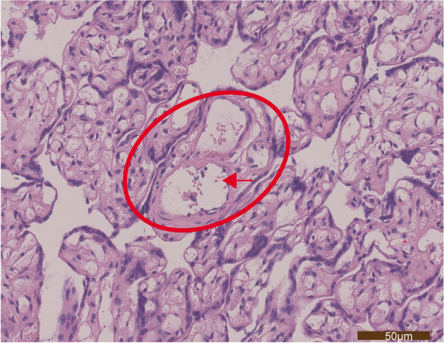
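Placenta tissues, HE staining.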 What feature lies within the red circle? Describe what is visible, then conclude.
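The circle encloses a large rounded villus, bigger than the surrounding villi. So: villous stems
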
